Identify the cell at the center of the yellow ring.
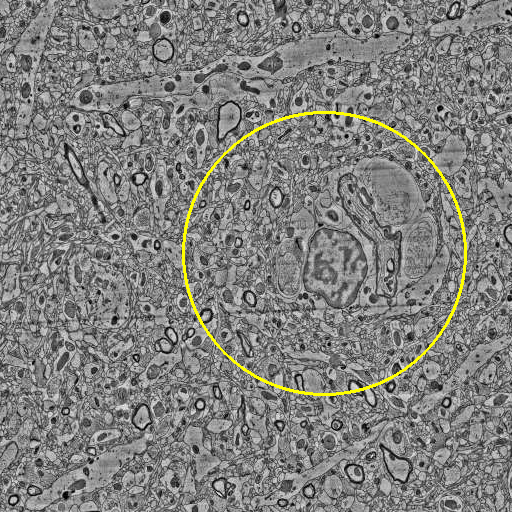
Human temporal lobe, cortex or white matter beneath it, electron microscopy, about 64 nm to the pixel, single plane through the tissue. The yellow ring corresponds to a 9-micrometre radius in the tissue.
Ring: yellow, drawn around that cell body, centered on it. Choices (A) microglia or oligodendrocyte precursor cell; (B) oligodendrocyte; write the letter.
A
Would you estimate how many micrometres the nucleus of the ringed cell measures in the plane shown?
In this plane the nucleus measures roughly 5 by 4 micrometers.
